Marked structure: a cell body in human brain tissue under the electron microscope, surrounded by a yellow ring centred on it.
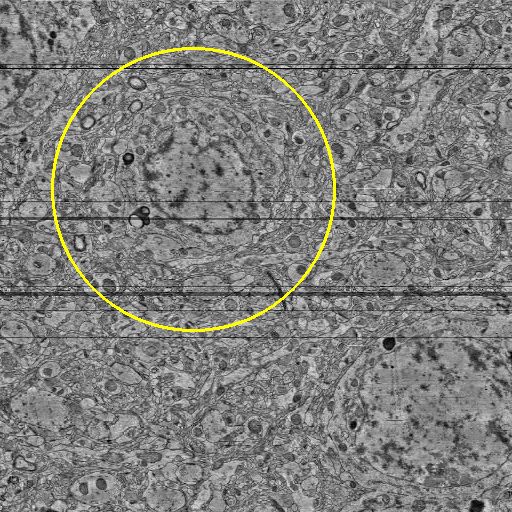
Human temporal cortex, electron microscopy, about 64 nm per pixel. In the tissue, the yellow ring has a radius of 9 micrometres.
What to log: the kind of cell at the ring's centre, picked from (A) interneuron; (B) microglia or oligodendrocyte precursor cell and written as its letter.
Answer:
A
